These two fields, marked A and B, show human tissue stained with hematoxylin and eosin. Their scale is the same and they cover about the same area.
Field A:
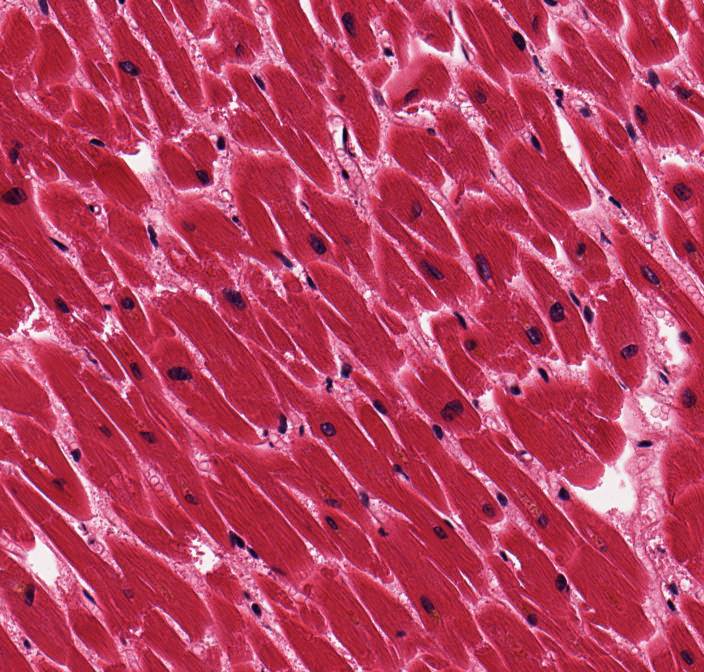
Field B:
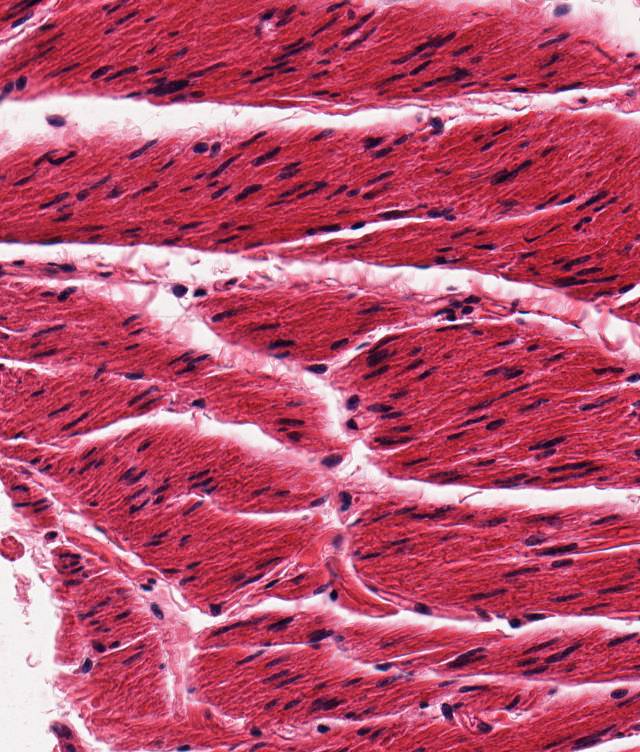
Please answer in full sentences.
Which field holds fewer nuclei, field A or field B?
It is field A that has fewer nuclei in it.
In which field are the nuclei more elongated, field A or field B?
On the whole the nuclei of field B are more drawn out than those of field A.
